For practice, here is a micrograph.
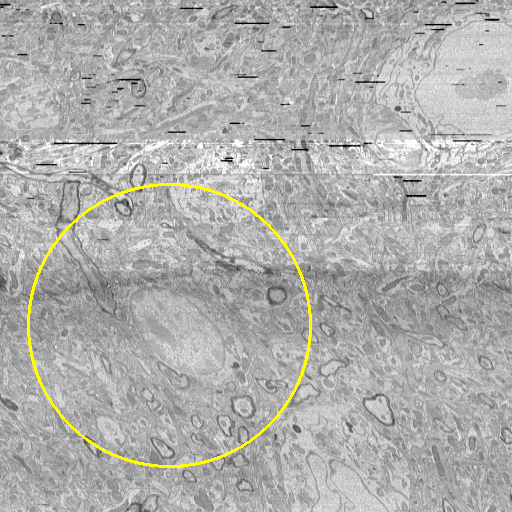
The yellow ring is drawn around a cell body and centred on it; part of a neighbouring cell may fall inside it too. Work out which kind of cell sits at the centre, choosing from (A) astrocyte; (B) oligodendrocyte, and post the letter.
B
